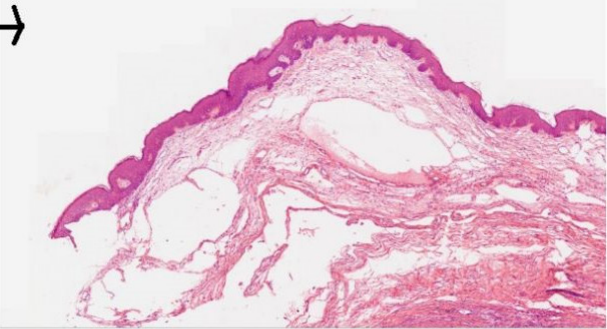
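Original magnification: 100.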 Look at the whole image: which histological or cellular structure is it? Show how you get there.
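Dilated lymphatic veins. Large, empty, irregular spaces lie in the loose dermis just beneath the epidermis. The spaces are lined by very thin walls without muscle. The overlying epidermis is stretched and bulges outward over them.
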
